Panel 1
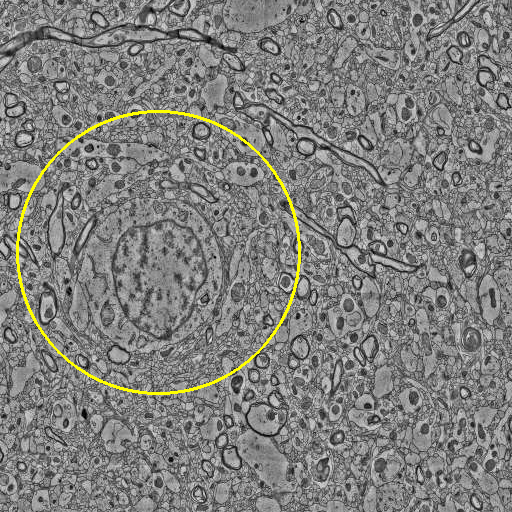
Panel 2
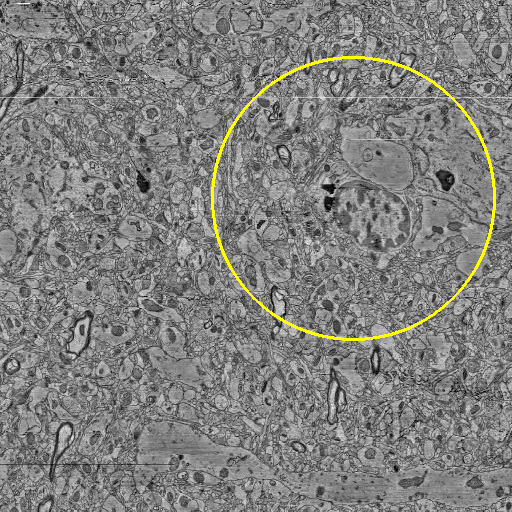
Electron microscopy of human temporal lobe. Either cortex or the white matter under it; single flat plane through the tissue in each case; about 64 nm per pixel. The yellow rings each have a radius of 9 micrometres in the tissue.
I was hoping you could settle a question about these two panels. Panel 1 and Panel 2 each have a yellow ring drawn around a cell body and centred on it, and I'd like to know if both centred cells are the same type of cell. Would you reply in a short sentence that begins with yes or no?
No, they are two types of cell.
